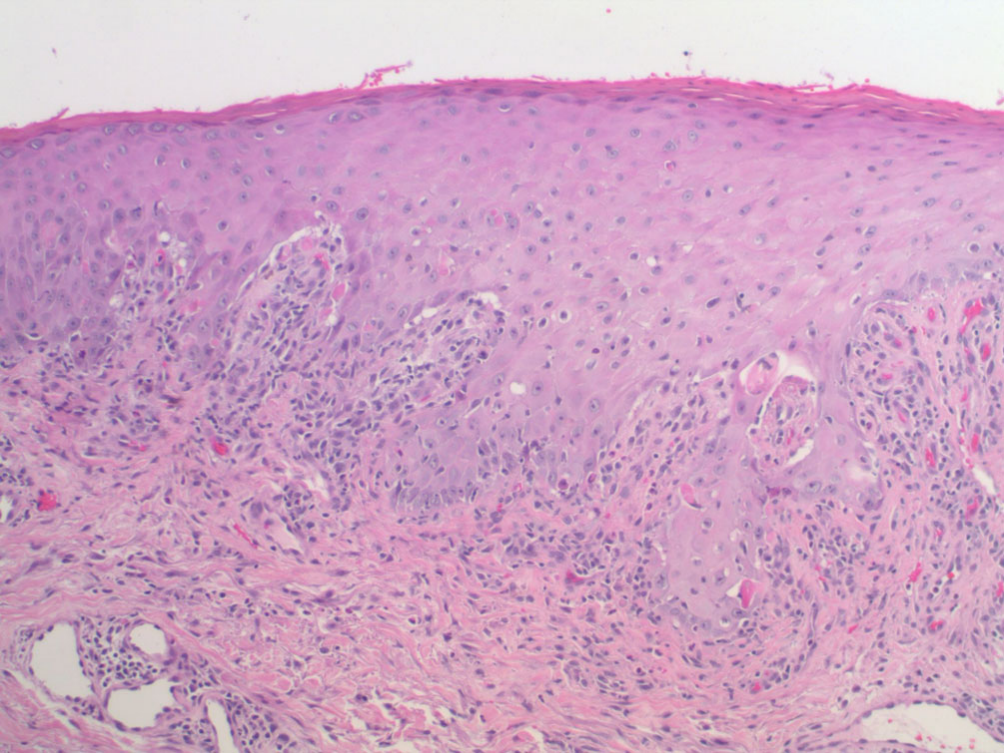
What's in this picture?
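This is skin whose epidermis is thickened, with many layers of pink keratinocytes beneath a thin, compact surface keratin layer. In the papillary dermis just below, a dense band of small, dark, round-nuclei inflammatory cells presses against the base of the epidermis and blurs the junction, where small clear spaces lie along the basal layer. A few rounded, deeply pink keratinocytes sit singly in the lower epidermis, and small vessels lie in the looser dermis beneath.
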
